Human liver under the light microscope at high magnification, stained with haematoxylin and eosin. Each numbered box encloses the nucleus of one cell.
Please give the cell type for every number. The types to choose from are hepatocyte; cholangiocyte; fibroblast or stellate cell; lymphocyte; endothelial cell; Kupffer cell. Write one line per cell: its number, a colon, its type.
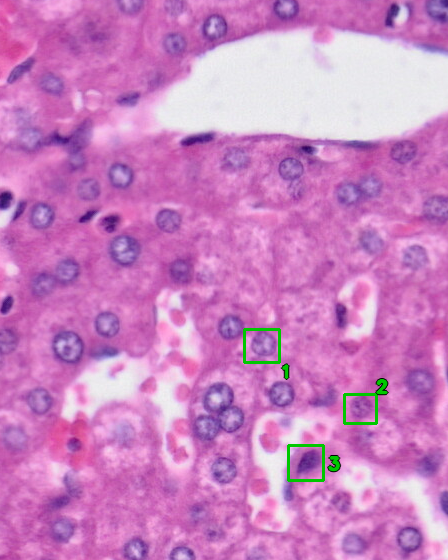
1: hepatocyte
2: hepatocyte
3: fibroblast or stellate cell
